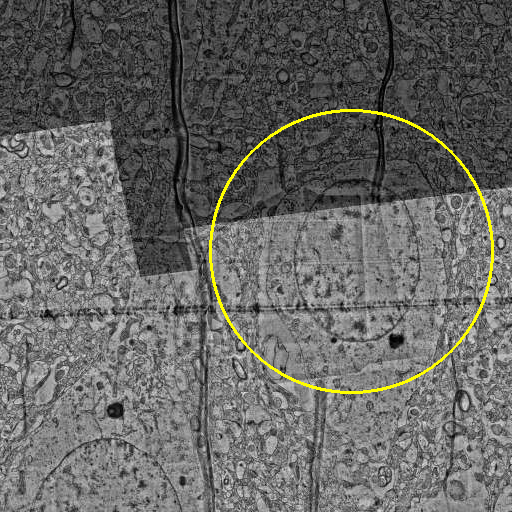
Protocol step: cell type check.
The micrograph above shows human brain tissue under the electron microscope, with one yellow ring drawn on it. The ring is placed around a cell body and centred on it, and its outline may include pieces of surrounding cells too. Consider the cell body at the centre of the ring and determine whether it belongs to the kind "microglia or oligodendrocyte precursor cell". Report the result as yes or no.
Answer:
no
